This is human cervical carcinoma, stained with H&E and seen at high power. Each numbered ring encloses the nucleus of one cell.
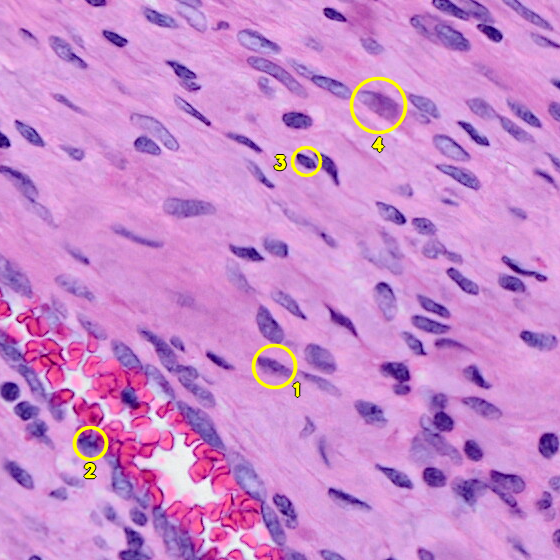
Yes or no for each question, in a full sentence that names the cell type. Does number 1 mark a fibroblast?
Yes, in this section the cell with number 1 is a fibroblast.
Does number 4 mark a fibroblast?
No, the cell referred to as 4 is an endothelial cell, not a fibroblast.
